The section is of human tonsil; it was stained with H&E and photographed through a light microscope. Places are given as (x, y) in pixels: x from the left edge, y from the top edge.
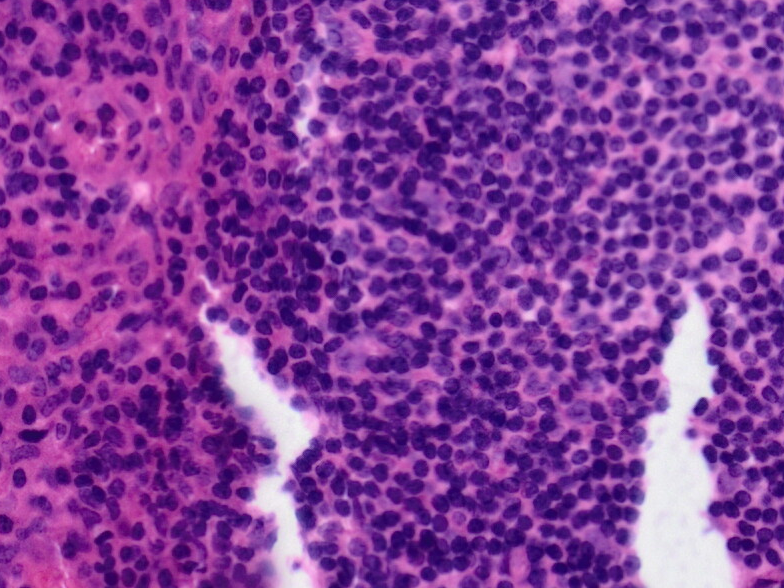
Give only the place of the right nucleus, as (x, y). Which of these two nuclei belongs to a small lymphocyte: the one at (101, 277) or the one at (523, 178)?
(523, 178)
